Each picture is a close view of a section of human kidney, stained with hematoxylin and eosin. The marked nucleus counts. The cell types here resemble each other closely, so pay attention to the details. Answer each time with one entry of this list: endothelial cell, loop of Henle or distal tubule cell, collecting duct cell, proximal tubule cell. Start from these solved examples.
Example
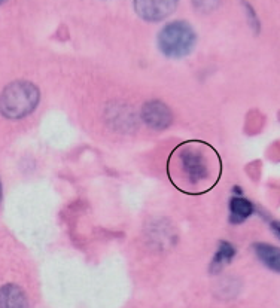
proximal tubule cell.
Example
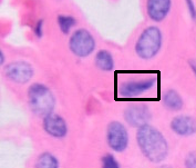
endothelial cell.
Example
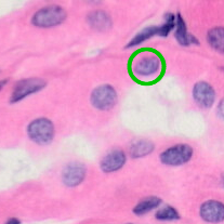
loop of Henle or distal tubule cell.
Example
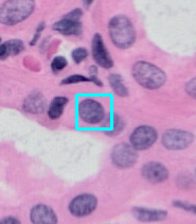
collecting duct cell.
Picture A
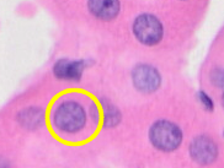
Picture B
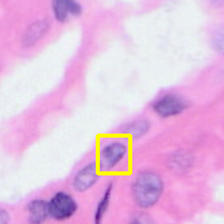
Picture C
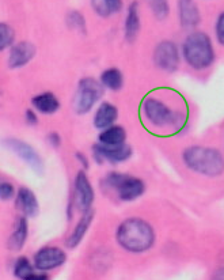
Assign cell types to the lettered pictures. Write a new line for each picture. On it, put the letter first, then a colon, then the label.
A: proximal tubule cell.
B: collecting duct cell.
C: collecting duct cell.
